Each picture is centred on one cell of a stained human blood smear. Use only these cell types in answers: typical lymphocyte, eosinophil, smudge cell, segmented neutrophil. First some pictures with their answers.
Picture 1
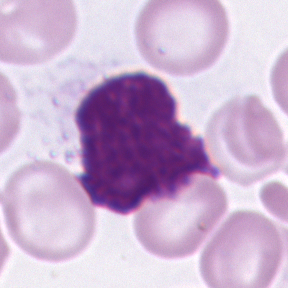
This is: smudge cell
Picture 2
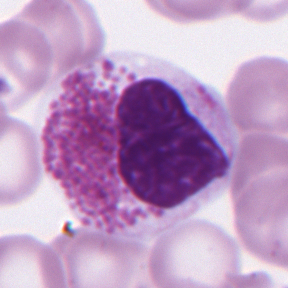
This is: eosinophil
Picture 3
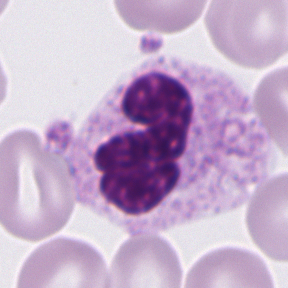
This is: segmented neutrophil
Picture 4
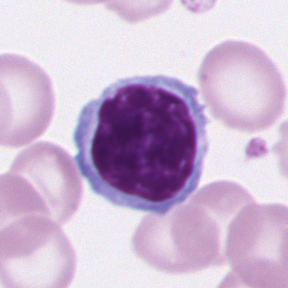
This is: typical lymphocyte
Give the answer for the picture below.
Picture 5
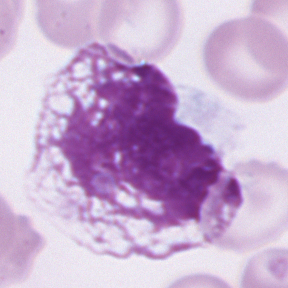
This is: smudge cell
